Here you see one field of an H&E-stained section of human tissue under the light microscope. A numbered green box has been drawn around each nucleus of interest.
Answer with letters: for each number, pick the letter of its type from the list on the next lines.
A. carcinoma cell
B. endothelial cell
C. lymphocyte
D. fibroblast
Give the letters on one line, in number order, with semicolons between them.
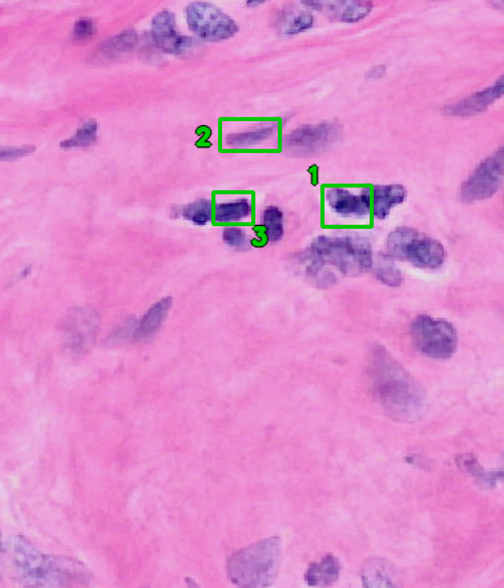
C; D; C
